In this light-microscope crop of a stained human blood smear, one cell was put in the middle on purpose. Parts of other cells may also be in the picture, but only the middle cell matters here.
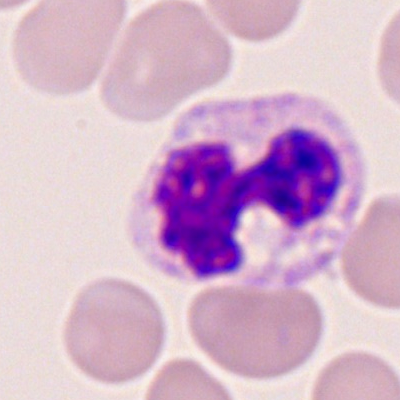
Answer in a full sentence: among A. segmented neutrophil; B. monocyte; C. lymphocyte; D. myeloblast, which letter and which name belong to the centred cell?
Option A, which names the central cell as a segmented neutrophil, is correct.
